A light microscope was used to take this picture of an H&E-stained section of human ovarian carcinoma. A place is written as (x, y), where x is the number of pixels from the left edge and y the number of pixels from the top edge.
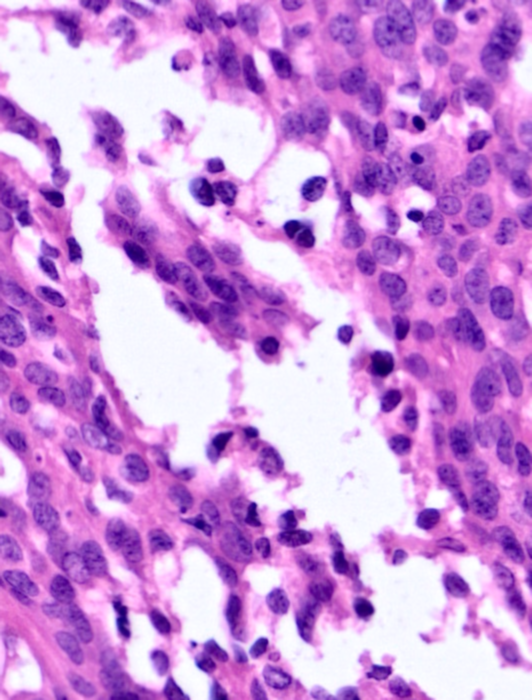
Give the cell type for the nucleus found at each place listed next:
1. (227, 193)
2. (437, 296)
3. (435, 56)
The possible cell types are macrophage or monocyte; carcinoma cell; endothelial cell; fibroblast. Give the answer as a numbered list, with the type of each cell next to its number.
1. macrophage or monocyte
2. macrophage or monocyte
3. carcinoma cell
